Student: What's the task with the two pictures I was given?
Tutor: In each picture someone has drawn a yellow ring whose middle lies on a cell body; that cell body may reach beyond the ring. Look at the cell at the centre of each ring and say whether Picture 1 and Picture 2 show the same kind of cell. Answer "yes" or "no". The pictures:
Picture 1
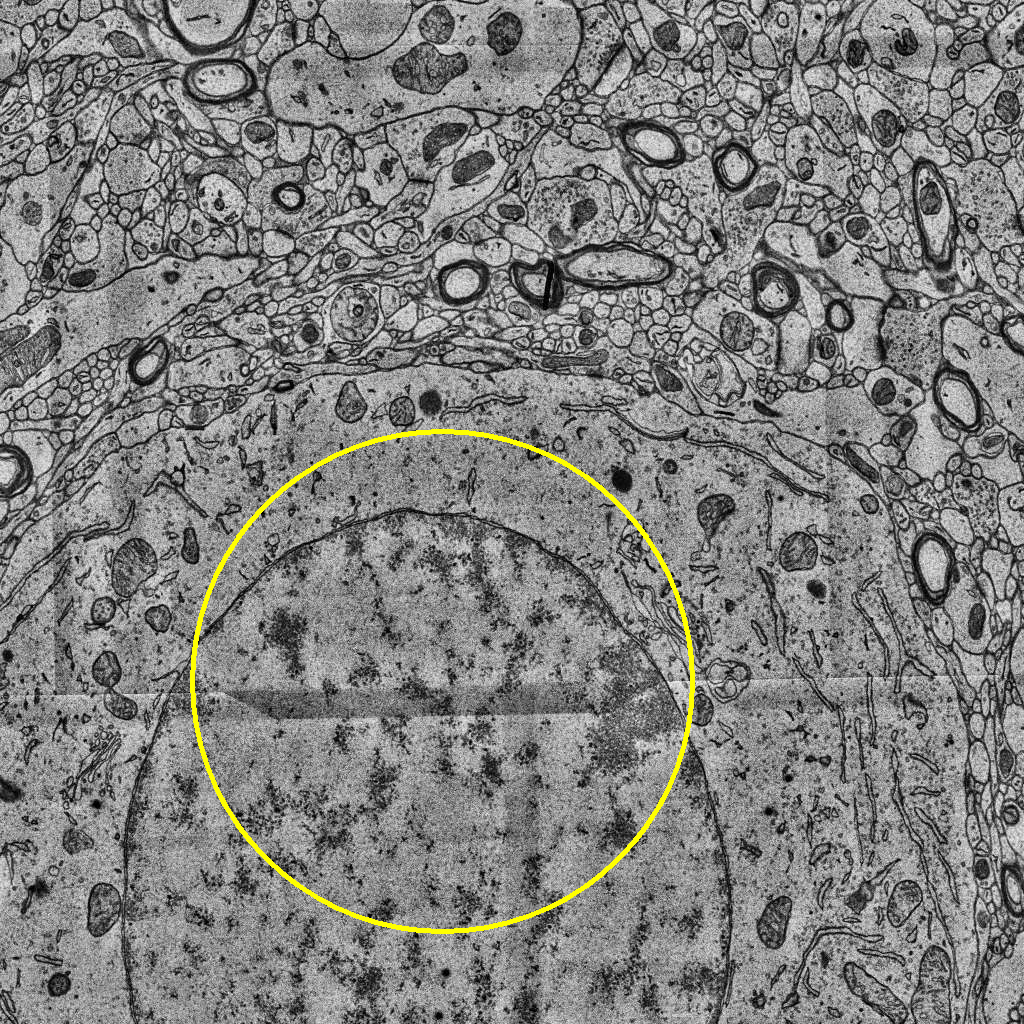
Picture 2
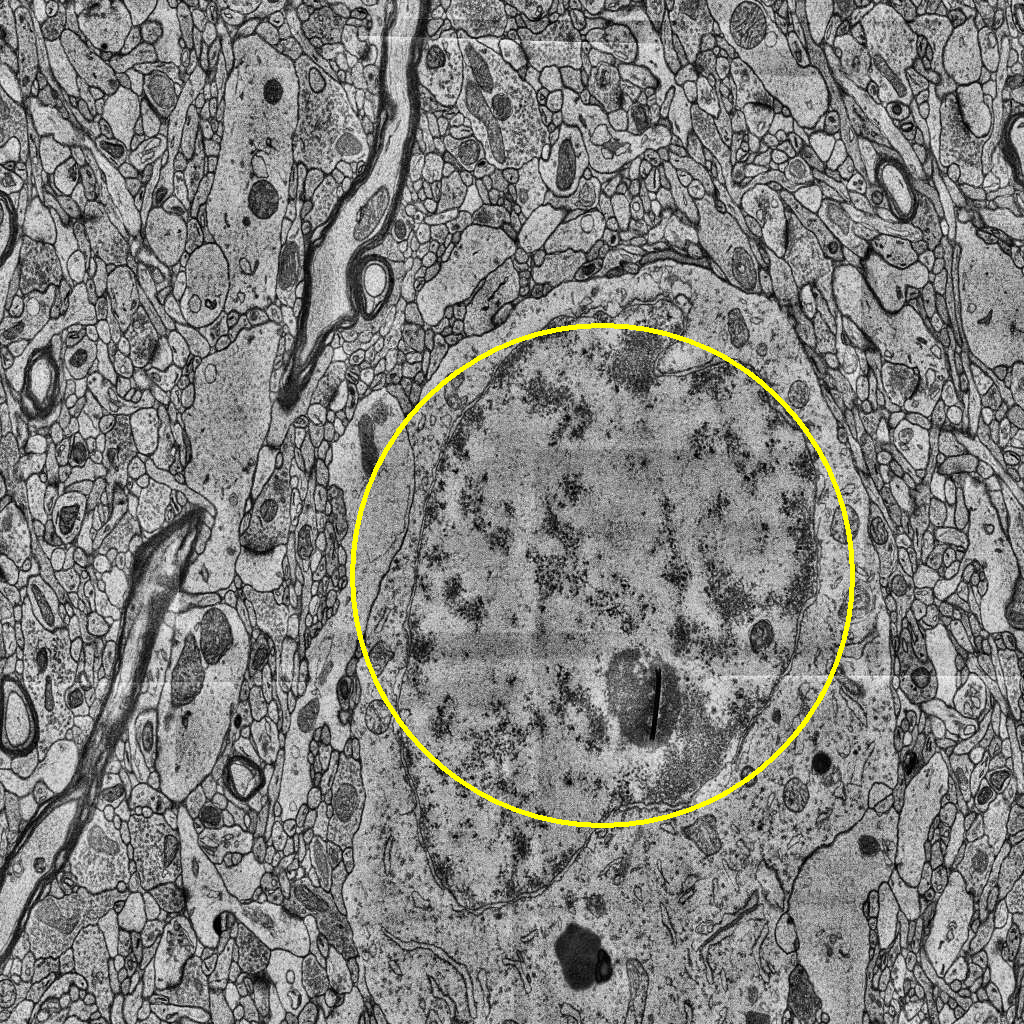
yes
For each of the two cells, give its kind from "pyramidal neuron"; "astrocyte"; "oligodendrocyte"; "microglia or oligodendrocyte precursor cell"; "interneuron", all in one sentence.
Each of the two cells is an interneuron.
